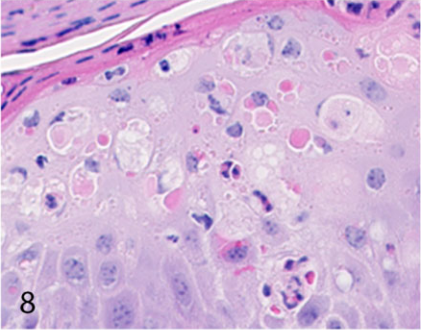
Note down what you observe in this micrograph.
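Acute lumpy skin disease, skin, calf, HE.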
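High magnification of epidermis showing degenerating and necrotic keratinocytes with intracytoplasmic inclusion bodies. Many keratinocytes are swollen with pale, clear or finely vacuolated cytoplasm. Round, bright pink, homogeneous bodies lie within the cytoplasm of several cells, some surrounded by a clear halo. Scattered cells have dark, condensed or fragmented nuclei, and small clusters of inflammatory cells with lobed nuclei lie among them. Less affected keratinocytes with round nuclei and prominent nucleoli are seen toward the lower edge, and flattened pink keratin layers cross the upper left corner.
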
